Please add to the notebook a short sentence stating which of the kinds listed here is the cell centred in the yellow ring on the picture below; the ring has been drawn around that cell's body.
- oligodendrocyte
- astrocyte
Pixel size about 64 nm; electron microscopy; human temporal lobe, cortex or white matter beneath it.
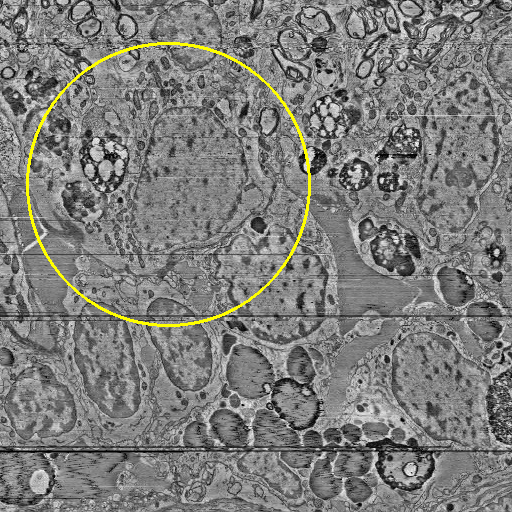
The cell centred in the yellow ring is an astrocyte.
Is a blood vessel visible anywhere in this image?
Yes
